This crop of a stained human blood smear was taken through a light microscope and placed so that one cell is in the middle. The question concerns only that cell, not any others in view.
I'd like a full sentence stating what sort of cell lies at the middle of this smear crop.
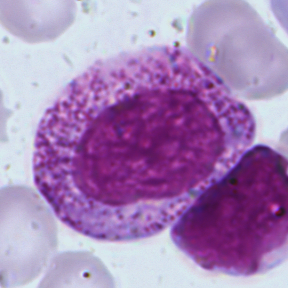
The cell of interest, located centrally, is a myelocyte.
